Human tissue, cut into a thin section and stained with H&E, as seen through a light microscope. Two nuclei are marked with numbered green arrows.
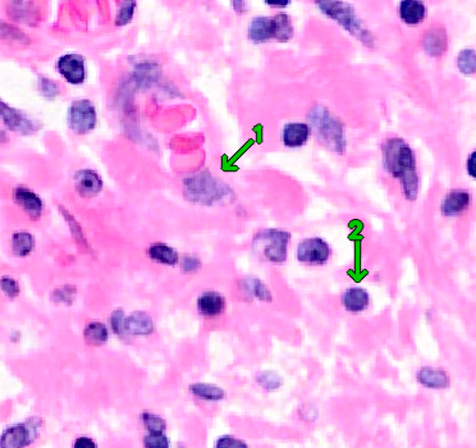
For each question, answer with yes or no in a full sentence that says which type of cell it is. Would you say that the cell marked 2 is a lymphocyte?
Yes, the marked cell number 2 is a lymphocyte.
